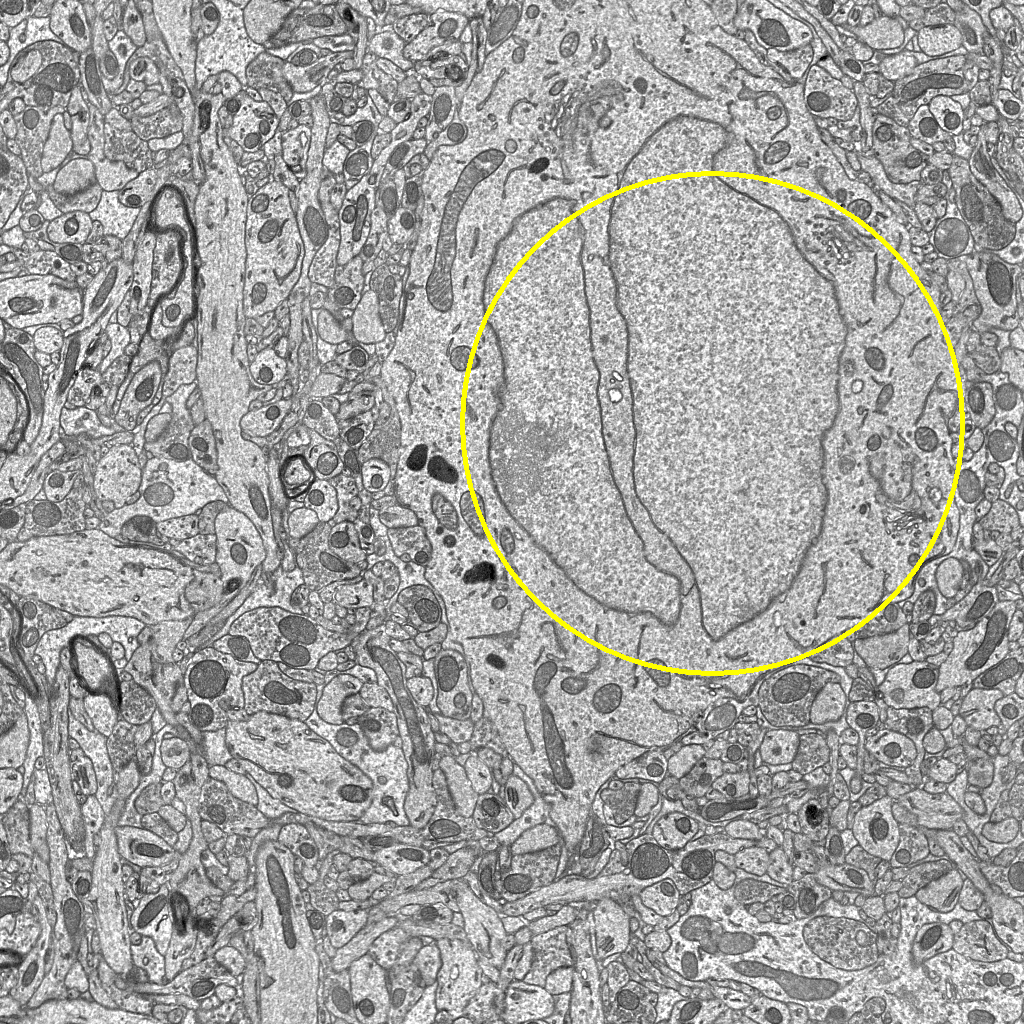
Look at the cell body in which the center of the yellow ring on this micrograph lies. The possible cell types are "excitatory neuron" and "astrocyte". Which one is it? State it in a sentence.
The cell at the middle of the ring is an excitatory neuron.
